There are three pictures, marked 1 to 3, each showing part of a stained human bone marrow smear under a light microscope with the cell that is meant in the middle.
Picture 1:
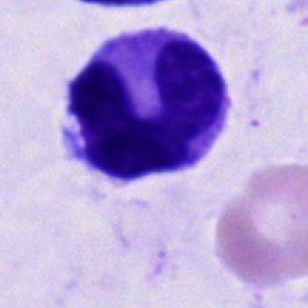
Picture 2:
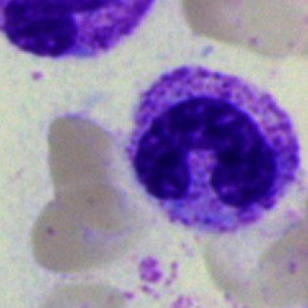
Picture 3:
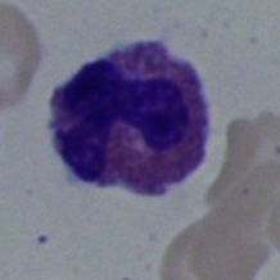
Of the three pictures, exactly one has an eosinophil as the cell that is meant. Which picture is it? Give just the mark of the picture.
3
